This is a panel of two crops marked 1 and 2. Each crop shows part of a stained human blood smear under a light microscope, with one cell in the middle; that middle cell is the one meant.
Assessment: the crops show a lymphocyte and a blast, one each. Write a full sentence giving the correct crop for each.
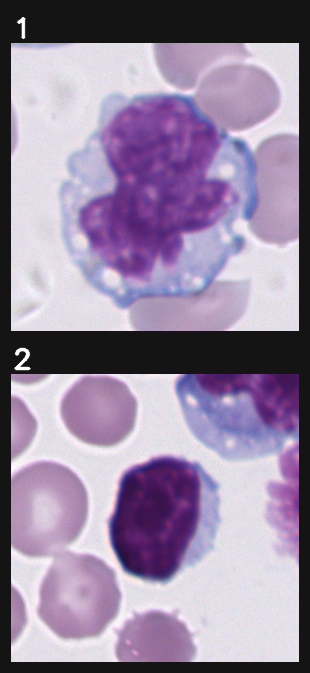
Crop 1 is recognised as a blast, crop 2 as a lymphocyte.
